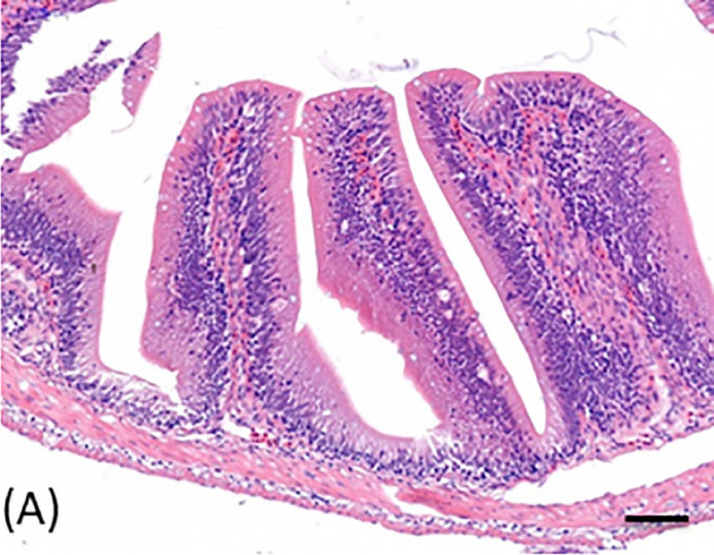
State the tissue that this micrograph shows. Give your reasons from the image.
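Intestine. Tall mucosal folds project into an open lumen. Folds are lined by a columnar epithelium with a dense band of purple nuclei. A pink smooth muscle layer runs beneath the mucosa.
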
